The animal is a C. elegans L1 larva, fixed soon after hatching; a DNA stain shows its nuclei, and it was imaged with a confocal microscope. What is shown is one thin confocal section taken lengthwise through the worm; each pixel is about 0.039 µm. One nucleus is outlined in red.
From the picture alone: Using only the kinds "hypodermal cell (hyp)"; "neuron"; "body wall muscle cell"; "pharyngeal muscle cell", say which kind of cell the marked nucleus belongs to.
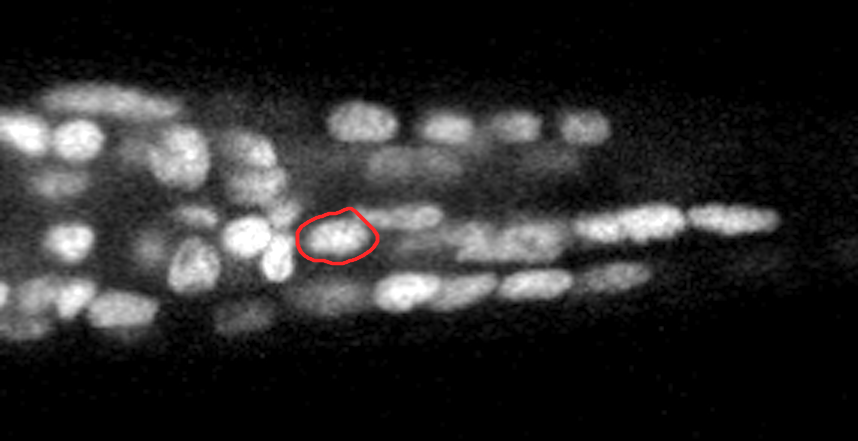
neuron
